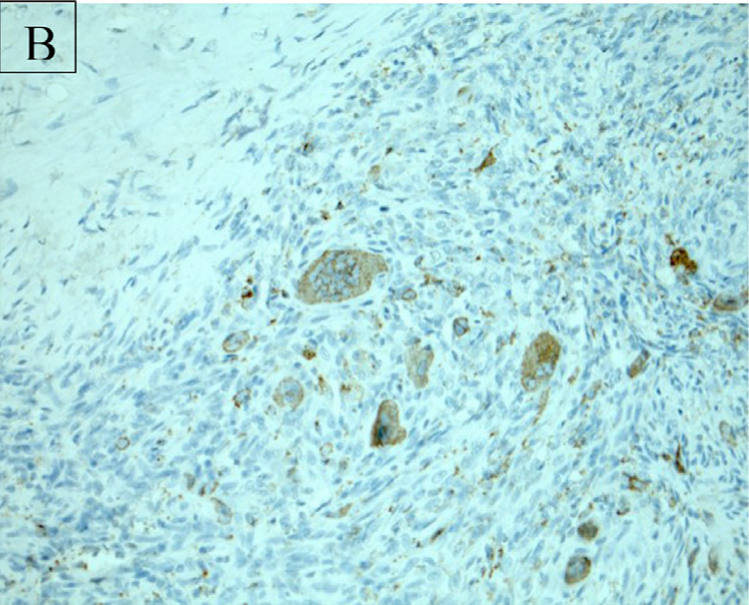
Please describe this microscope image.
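Several large, rounded to oval giant cells show granular brown staining of their cytoplasm, with blue nuclei visible within them. The surrounding spindle-shaped mononuclear cells are mostly blue, with only small brown granules scattered among them. The spindle cells run in streaming bundles around the stained giant cells. One corner of the field is paler and less cellular.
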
